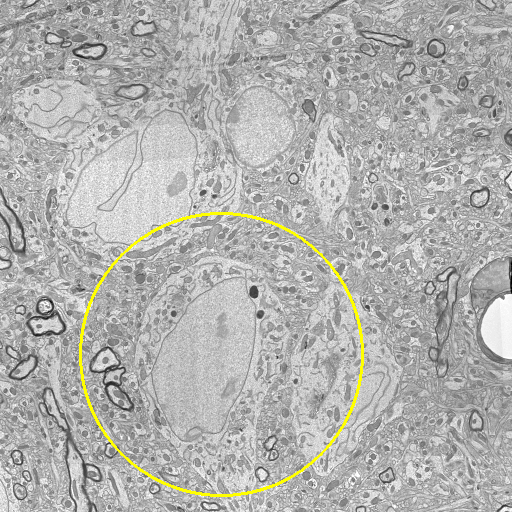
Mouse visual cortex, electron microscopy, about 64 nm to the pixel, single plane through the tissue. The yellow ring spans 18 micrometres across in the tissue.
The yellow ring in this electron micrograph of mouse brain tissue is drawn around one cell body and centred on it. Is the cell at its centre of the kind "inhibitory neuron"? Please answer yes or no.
yes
